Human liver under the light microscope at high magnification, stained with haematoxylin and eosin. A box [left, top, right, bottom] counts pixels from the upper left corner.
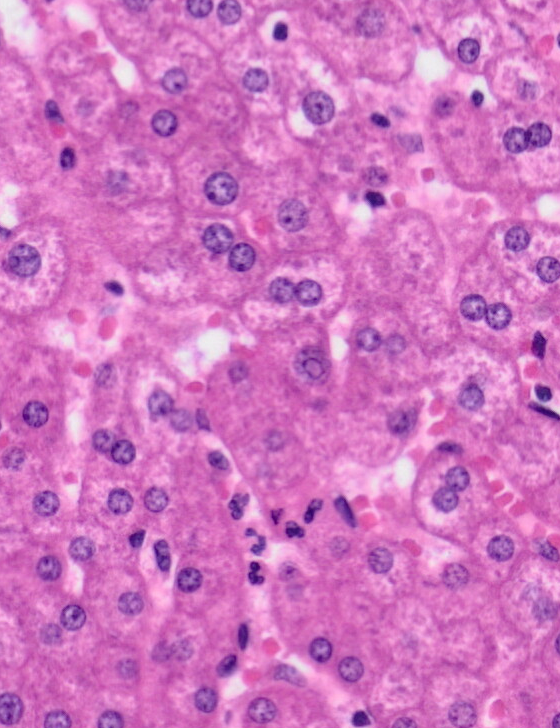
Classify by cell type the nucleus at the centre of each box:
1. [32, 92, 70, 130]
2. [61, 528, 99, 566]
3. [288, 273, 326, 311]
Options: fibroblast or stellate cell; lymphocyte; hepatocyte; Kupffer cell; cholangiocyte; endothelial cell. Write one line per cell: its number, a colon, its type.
1: endothelial cell
2: hepatocyte
3: hepatocyte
